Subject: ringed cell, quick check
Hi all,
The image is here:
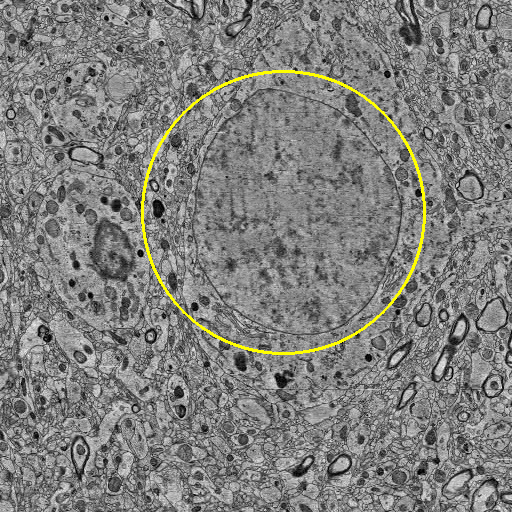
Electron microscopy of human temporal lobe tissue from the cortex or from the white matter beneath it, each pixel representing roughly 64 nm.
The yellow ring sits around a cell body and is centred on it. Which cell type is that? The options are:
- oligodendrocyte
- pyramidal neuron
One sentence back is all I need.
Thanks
That ringed cell is a pyramidal neuron.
